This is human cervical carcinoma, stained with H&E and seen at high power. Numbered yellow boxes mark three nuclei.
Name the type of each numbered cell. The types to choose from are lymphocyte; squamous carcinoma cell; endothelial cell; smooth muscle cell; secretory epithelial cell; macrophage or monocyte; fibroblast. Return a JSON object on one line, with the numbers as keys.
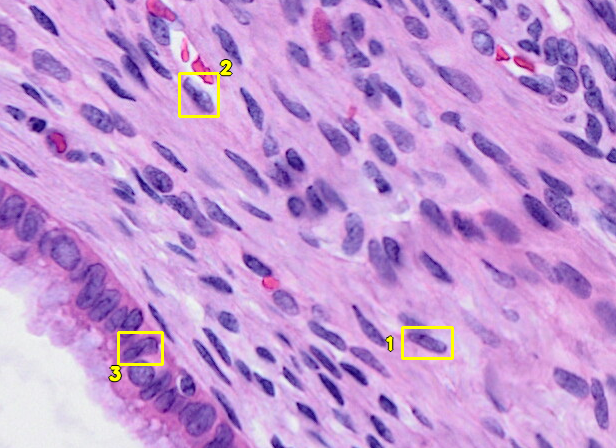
{"1": "fibroblast", "2": "endothelial cell", "3": "secretory epithelial cell"}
